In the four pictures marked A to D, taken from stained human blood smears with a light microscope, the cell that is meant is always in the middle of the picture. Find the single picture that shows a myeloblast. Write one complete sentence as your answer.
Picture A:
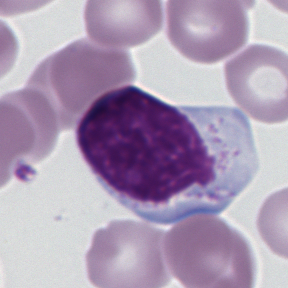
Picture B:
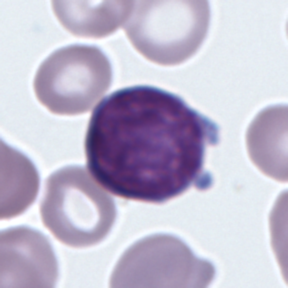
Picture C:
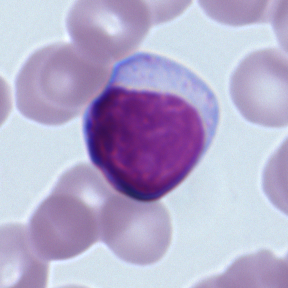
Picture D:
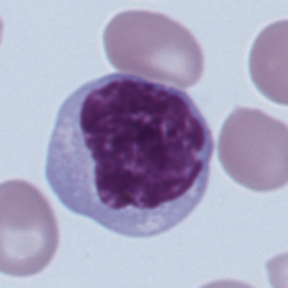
It is picture B that shows the myeloblast.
